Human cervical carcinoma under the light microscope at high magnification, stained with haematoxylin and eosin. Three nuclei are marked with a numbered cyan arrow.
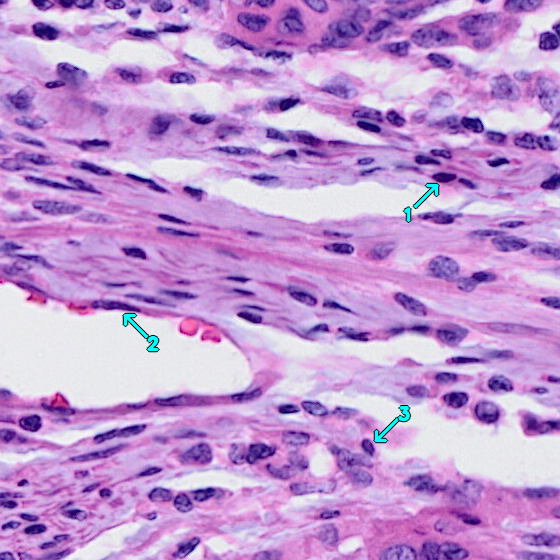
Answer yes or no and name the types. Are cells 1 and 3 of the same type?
Yes, both are lymphocytes.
